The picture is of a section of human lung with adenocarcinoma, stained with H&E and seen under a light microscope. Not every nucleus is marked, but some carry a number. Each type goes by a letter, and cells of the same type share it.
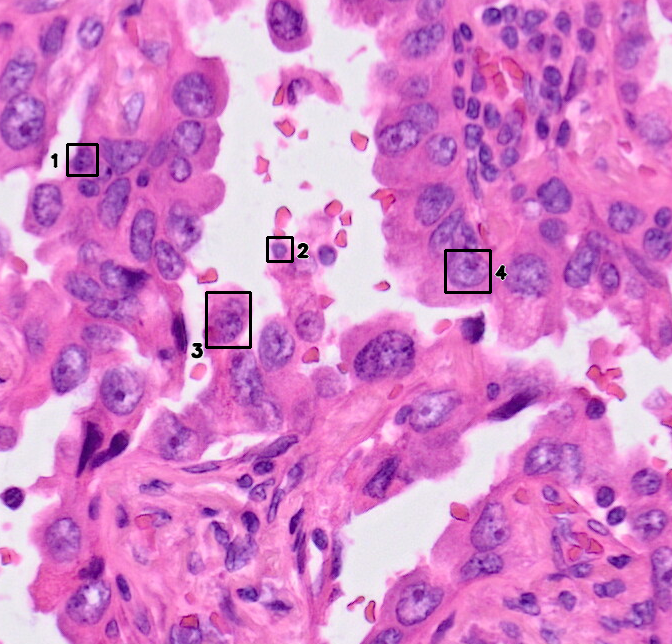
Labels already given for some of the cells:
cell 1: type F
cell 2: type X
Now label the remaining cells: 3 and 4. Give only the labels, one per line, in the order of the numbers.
type F
type F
